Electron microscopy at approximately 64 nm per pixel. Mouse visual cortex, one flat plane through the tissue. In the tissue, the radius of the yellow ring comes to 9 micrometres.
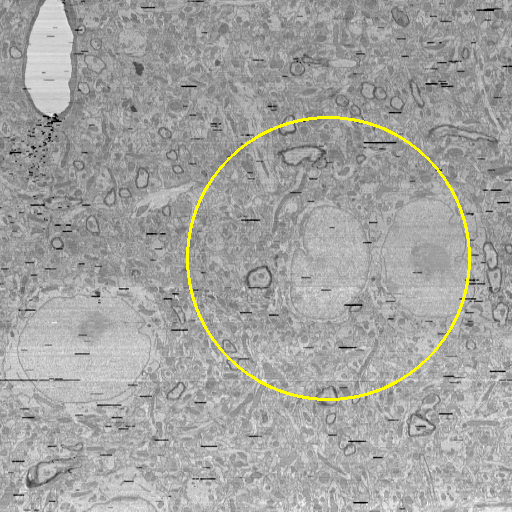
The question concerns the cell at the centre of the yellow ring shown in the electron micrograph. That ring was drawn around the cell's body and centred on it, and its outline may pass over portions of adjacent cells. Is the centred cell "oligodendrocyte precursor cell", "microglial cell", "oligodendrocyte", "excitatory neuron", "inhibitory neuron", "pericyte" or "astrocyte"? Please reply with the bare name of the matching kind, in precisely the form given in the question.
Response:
astrocyte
